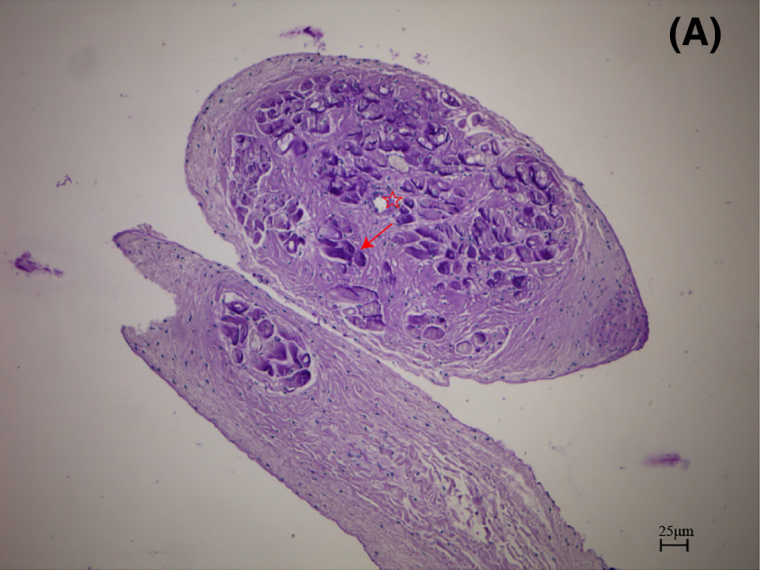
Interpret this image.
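This cross section of a false tendon shows many bundles of large, rounded Purkinje fibres whose cytoplasm stains dark blue-purple, packed in groups within paler connective tissue. The bundles are enclosed by a thick, pale fibrous sheath with flattened nuclei, and a small vessel lumen lies among them. A second, narrower strip of tissue beside it contains a smaller group of the same dark-stained fibres.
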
